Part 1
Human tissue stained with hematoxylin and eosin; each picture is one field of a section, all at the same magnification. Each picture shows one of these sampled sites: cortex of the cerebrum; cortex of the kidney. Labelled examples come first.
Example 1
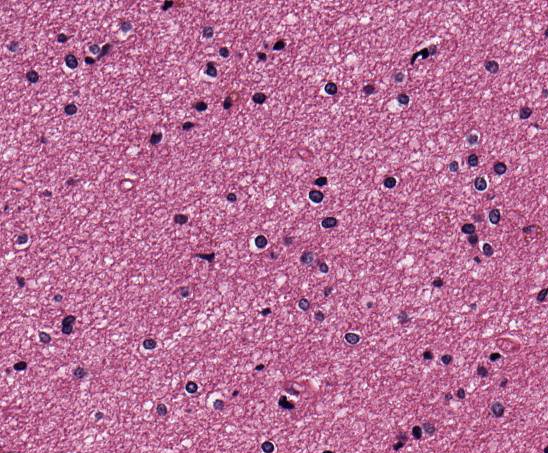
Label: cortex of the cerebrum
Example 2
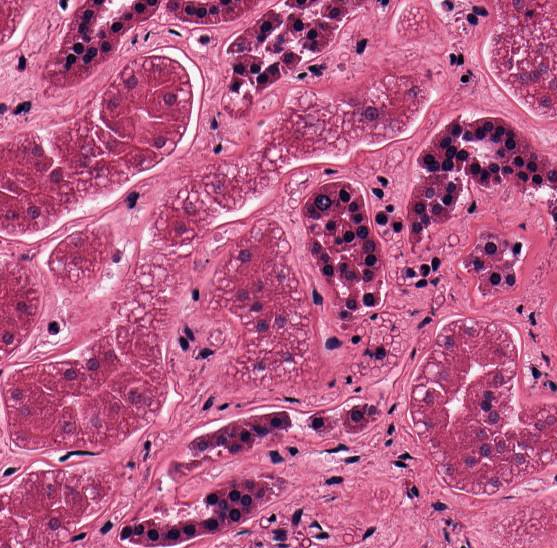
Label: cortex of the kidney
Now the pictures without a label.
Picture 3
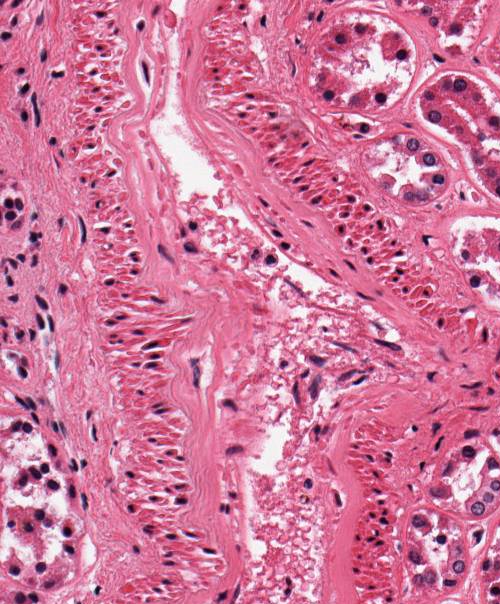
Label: cortex of the kidney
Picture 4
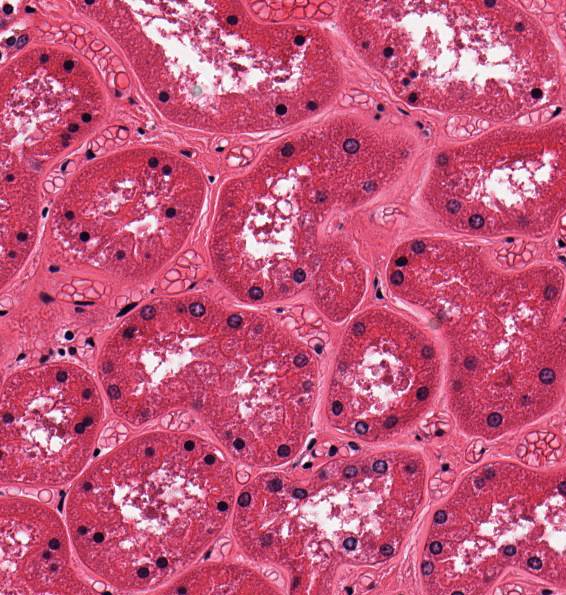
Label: cortex of the kidney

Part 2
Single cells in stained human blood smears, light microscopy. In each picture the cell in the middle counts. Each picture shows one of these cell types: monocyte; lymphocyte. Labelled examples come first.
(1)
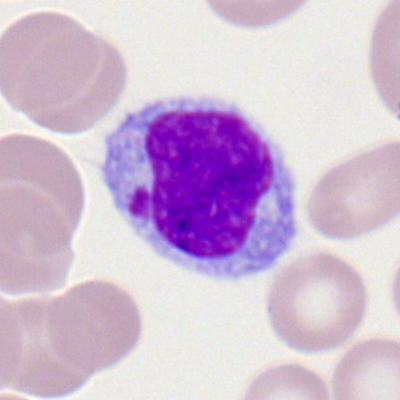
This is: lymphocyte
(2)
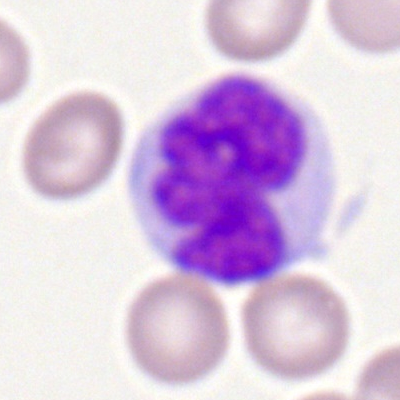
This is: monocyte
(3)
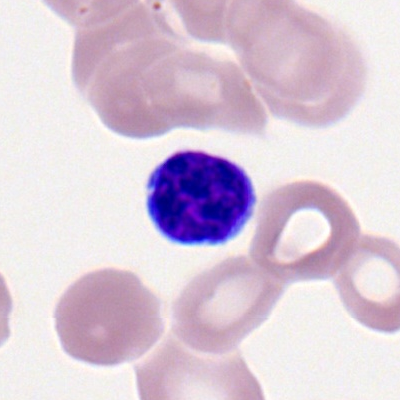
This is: lymphocyte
